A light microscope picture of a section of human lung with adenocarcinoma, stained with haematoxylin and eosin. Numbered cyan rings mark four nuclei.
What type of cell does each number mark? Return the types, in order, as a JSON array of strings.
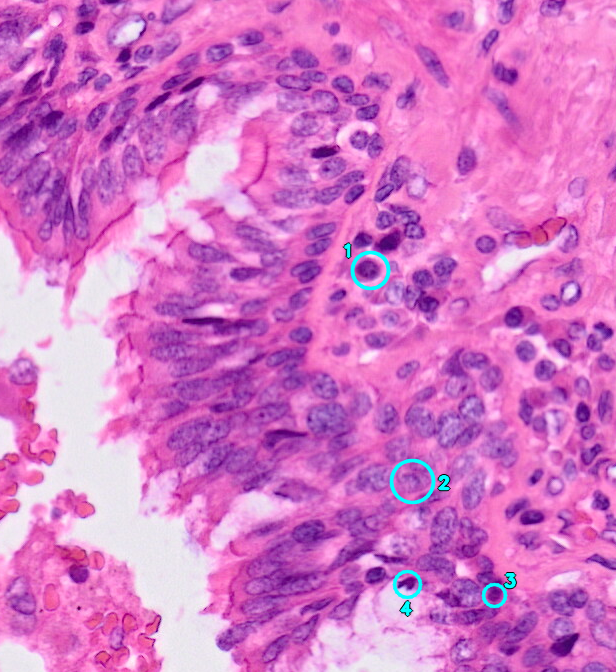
["plasma cell", "ciliated epithelial cell", "ciliated epithelial cell", "ciliated epithelial cell"]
